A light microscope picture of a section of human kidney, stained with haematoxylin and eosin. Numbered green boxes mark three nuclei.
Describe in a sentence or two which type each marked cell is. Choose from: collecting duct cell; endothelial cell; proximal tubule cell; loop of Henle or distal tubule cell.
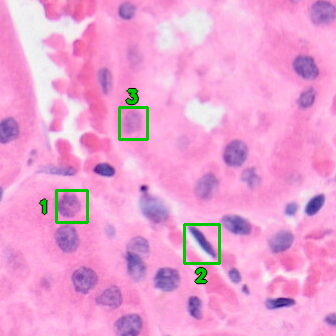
Cell 1 is a proximal tubule cell, cell 2 is an endothelial cell and cell 3 is a proximal tubule cell.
